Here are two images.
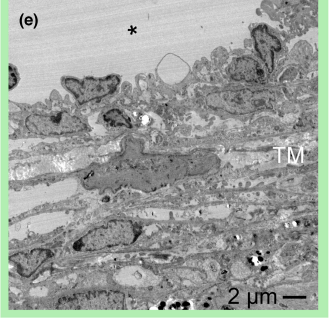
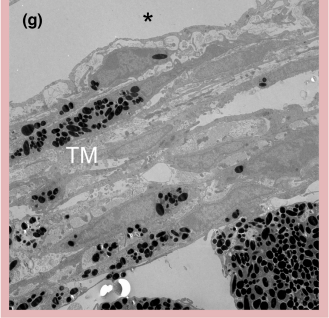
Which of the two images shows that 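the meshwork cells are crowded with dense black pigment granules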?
The second image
